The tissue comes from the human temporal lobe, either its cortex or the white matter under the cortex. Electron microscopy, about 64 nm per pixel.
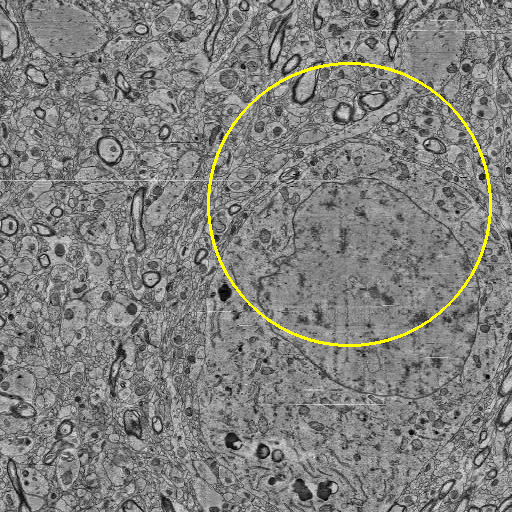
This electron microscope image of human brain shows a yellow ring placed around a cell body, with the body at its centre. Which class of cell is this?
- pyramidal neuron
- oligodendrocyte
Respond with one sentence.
The cell body at the ring's centre is a pyramidal neuron.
